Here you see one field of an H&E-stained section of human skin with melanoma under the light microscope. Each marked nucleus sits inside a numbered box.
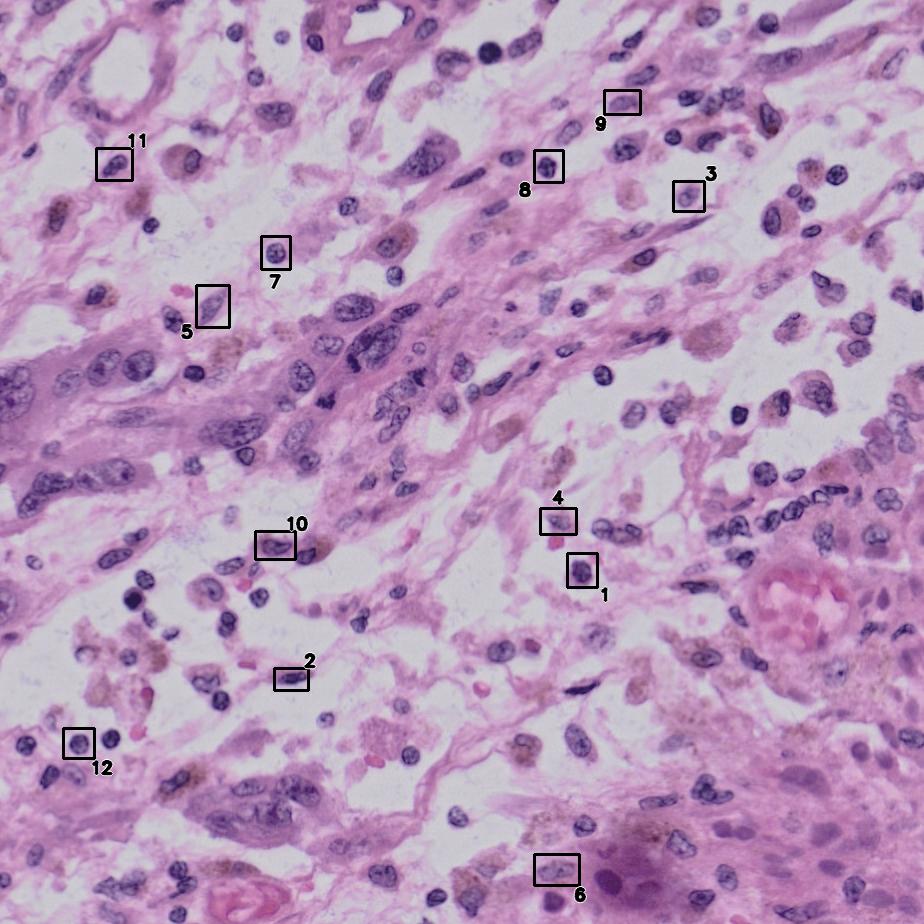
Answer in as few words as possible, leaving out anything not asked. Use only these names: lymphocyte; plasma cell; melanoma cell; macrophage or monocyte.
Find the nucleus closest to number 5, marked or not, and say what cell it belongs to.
lymphocyte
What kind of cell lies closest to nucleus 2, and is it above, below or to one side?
a lymphocyte, below and to the right of nucleus 2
